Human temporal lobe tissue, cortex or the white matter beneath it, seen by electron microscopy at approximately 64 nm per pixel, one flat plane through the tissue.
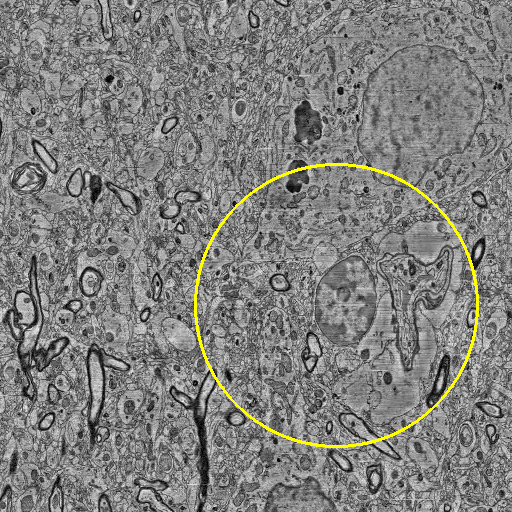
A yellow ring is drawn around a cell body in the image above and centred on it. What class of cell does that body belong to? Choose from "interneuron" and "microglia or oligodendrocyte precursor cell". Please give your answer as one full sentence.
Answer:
The yellow ring above is centred on the cell body of a microglial cell or oligodendrocyte precursor cell.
